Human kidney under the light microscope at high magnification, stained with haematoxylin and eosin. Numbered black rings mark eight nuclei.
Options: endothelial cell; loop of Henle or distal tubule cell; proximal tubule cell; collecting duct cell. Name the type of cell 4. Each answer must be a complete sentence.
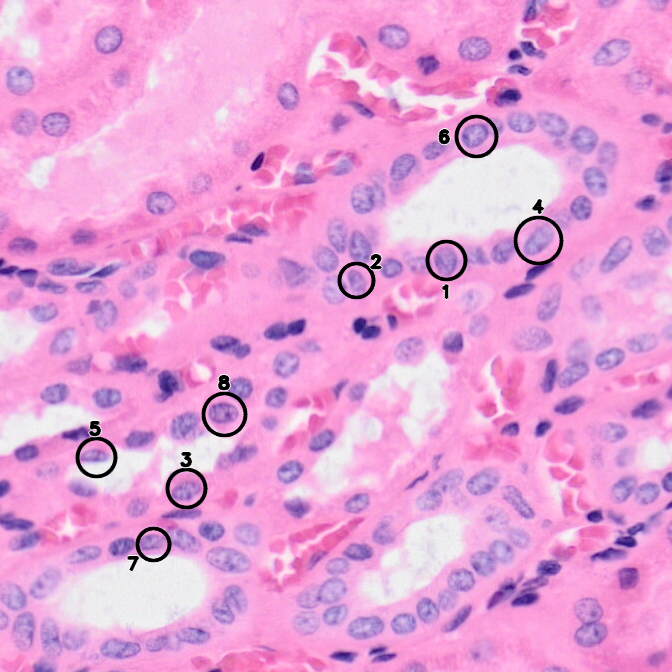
The nucleus labeled 4 belongs to a collecting duct cell.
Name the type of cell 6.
The cell that goes by number 6 is a collecting duct cell.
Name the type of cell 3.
Cell 3 should be recorded as a loop of Henle or distal tubule cell.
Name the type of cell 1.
The cell whose nucleus carries the number 1 is a collecting duct cell.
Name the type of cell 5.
The cell bearing label 5 corresponds to a loop of Henle or distal tubule cell.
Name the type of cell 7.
The cell given label 7 is a collecting duct cell.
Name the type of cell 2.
As for number 2, that cell is a collecting duct cell.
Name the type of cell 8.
What the number 8 marks in this field is a loop of Henle or distal tubule cell.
